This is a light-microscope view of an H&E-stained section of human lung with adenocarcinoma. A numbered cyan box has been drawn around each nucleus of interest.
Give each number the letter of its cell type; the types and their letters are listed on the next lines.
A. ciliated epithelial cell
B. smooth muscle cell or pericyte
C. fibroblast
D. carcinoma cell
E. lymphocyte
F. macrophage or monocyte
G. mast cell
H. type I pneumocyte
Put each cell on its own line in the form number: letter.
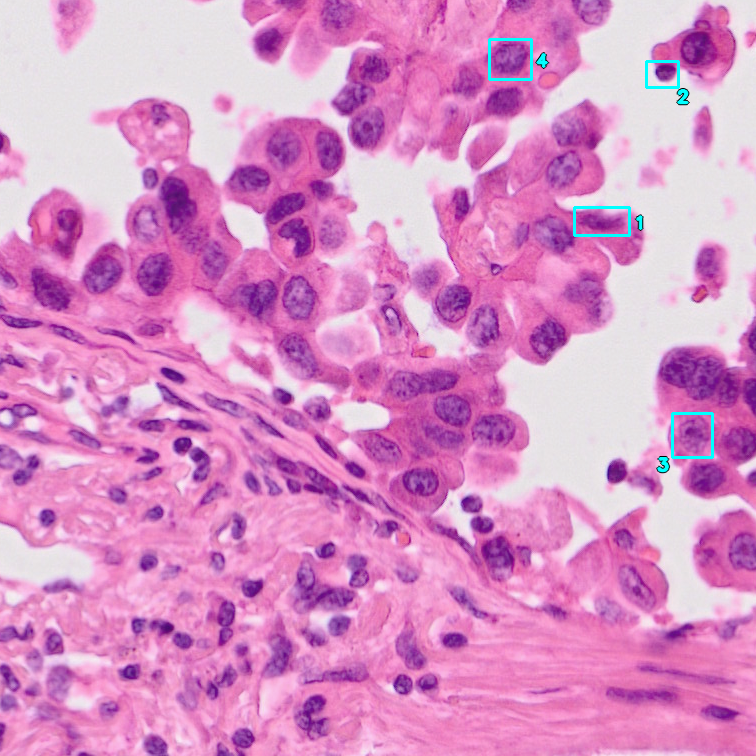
1: D
2: E
3: D
4: D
